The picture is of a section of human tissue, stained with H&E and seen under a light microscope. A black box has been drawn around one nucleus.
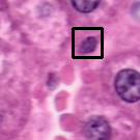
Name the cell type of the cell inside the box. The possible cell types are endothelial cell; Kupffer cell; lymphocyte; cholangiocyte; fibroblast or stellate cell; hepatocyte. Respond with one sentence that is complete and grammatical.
Recorded by type, the cell inside the box is a lymphocyte.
